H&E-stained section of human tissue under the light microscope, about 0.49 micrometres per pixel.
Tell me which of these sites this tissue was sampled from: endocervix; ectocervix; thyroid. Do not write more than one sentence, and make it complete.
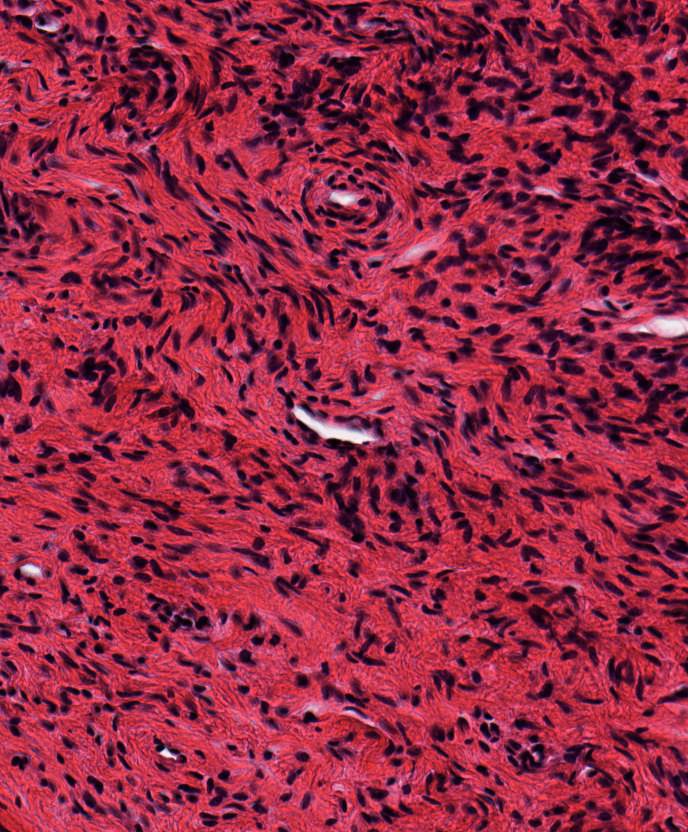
It was from the endocervix that this tissue was sampled.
